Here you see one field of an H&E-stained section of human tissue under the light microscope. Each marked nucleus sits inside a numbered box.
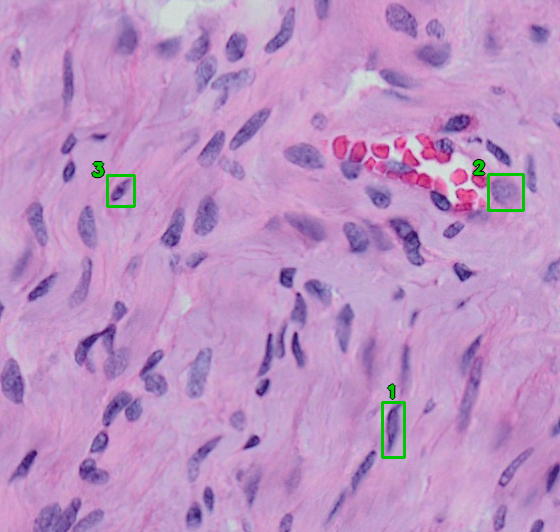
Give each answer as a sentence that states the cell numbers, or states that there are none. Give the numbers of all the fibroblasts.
Cells 1 and 3 are recognised here as fibroblasts.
